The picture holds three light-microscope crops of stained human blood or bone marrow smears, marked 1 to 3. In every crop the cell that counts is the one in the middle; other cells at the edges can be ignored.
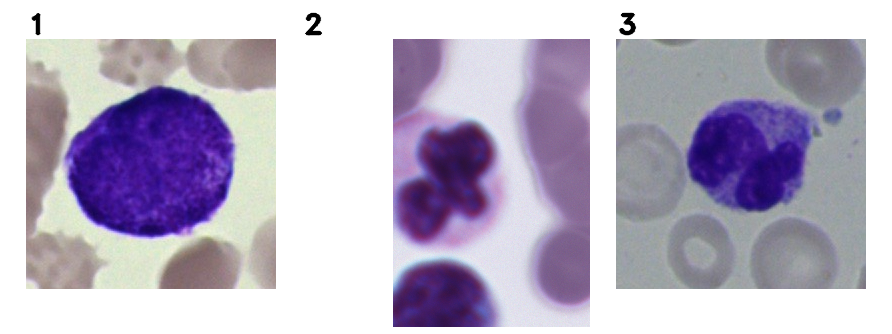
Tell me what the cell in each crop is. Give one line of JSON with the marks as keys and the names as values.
{"1": "promyelocyte", "2": "segmented neutrophil", "3": "monocyte"}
